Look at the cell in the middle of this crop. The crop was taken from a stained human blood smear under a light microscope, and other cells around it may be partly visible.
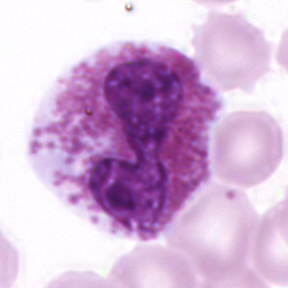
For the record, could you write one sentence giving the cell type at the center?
Centrally within this crop lies an eosinophil.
